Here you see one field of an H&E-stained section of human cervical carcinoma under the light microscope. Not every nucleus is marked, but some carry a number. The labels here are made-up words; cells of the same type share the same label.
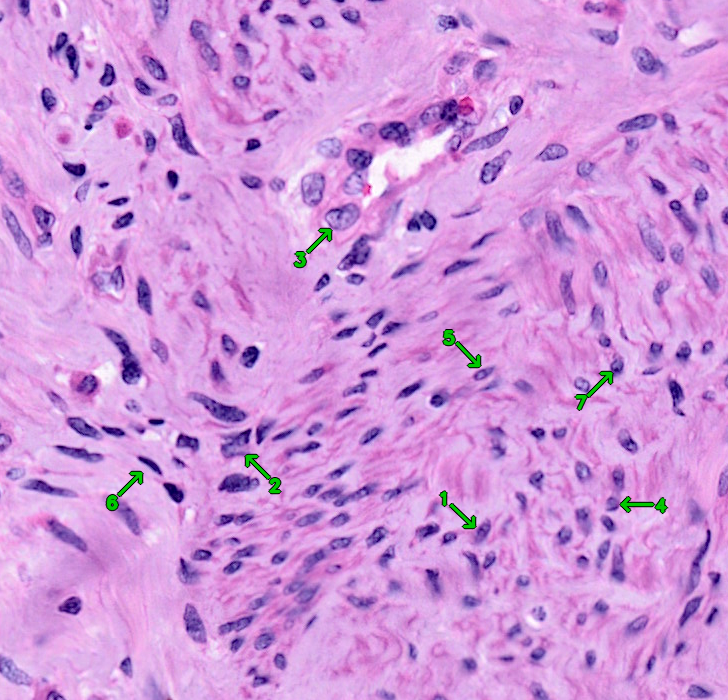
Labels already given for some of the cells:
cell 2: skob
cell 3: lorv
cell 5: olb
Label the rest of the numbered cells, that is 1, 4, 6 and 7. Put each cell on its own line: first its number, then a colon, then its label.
1: olb
4: olb
6: skob
7: olb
